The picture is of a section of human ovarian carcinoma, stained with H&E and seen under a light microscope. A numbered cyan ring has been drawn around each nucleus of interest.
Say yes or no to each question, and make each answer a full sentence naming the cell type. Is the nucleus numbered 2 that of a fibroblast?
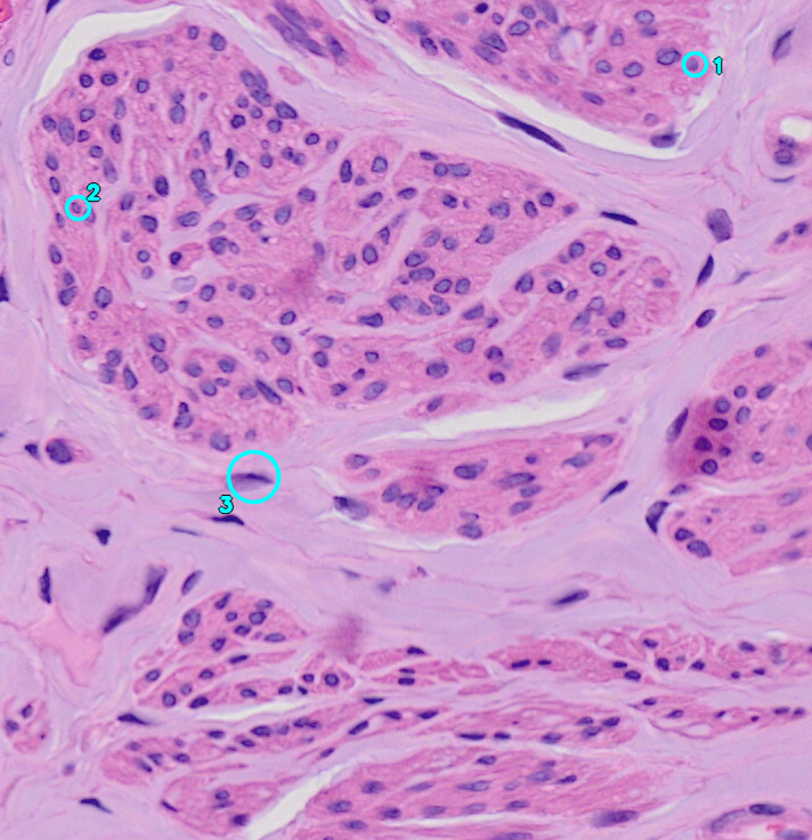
No, cell 2 is to be read as a smooth muscle cell, not a fibroblast.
